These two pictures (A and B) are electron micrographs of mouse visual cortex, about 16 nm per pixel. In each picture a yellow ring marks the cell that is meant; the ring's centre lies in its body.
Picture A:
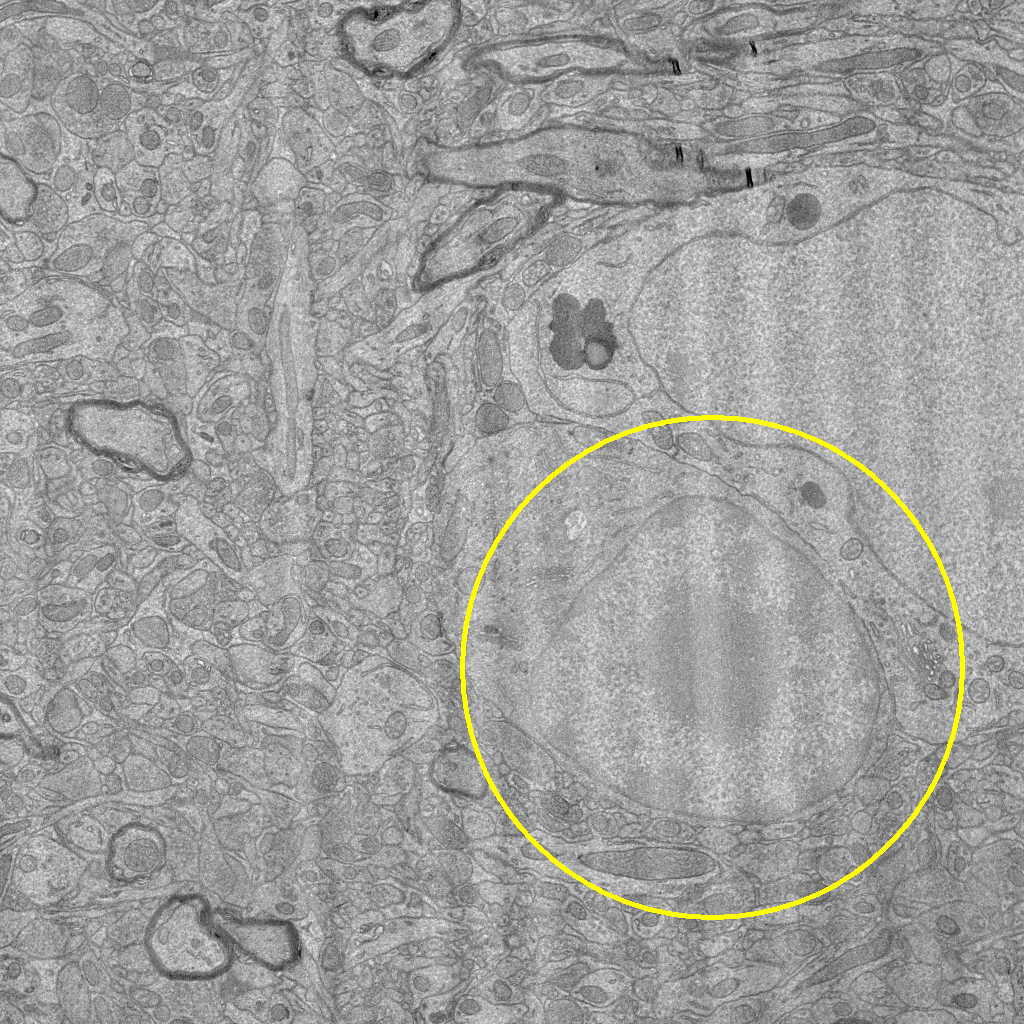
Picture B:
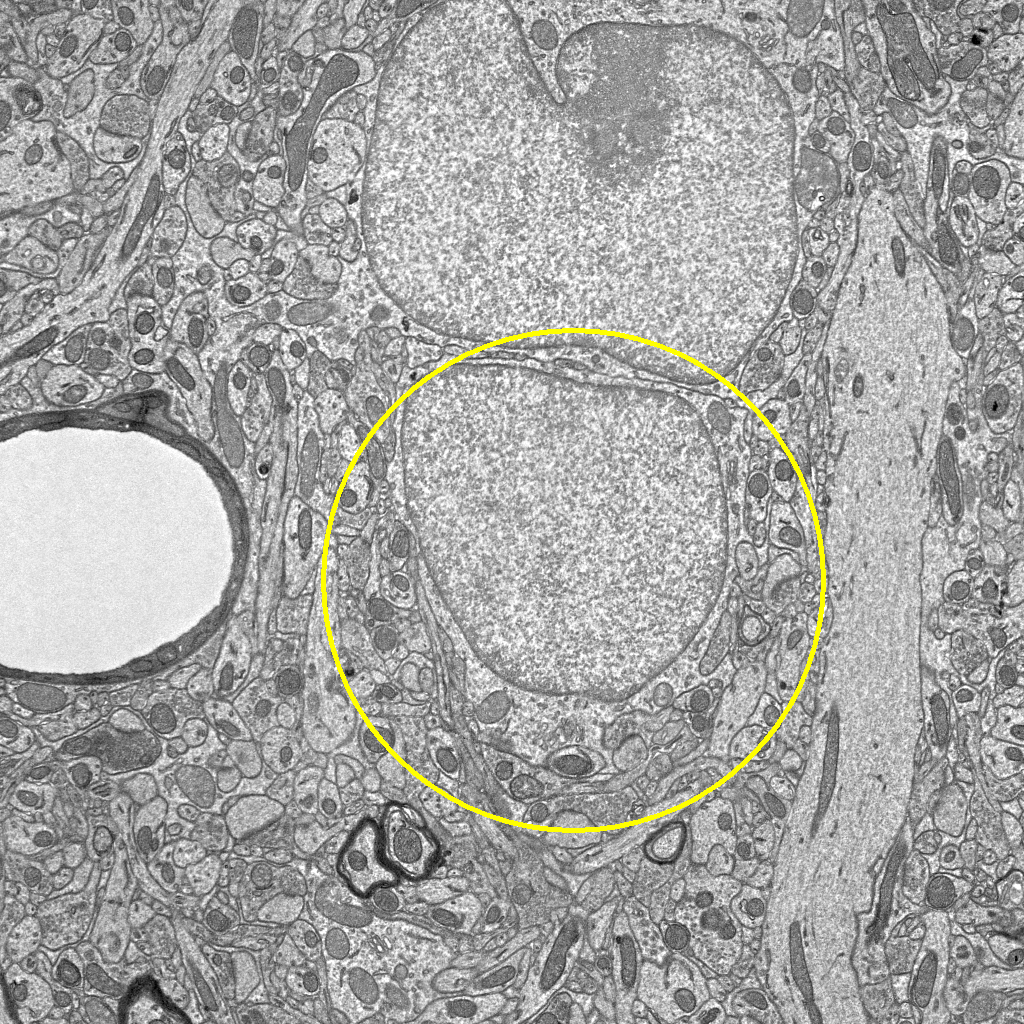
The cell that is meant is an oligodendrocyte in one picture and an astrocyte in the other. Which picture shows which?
It is picture A that shows an oligodendrocyte, and picture B that shows an astrocyte.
